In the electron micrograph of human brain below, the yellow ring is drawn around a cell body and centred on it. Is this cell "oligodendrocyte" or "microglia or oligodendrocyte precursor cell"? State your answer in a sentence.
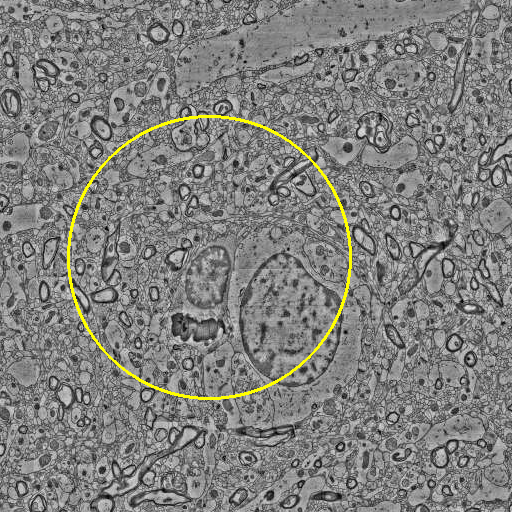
The cell in the middle of the ring is an oligodendrocyte.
